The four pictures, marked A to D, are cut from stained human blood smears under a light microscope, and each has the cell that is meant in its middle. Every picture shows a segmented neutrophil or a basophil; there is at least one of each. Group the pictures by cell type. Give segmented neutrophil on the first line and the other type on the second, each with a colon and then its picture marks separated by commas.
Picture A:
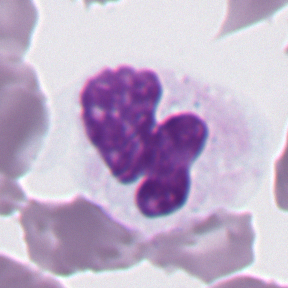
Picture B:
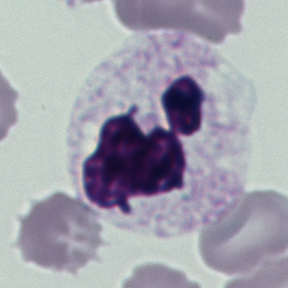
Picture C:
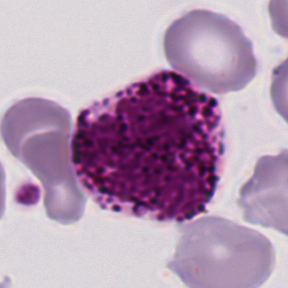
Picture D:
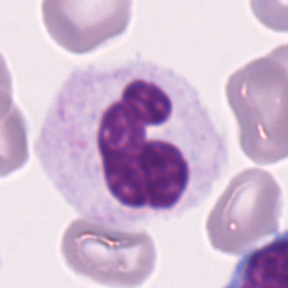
segmented neutrophil: A, B, D
basophil: C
